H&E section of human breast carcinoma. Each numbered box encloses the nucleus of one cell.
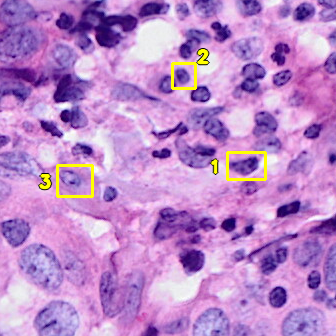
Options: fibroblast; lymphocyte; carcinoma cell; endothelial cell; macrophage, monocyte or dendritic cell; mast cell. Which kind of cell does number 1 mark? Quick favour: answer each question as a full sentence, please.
The cell pointed out by number 1 is a lymphocyte.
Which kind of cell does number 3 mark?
At number 3, the marked cell is an endothelial cell.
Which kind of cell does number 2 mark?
The label 2 in this section denotes a lymphocyte.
